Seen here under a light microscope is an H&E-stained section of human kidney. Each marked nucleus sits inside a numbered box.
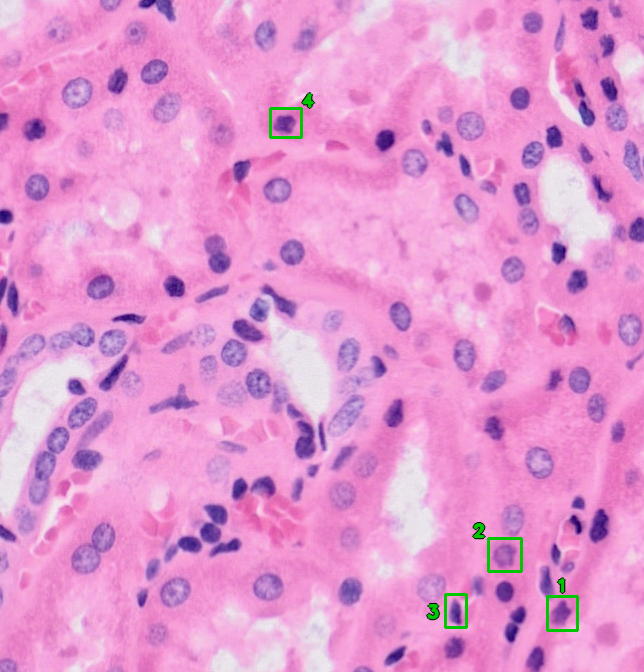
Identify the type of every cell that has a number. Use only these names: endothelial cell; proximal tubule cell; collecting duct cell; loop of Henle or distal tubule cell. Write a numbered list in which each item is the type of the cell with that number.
1. proximal tubule cell
2. proximal tubule cell
3. endothelial cell
4. proximal tubule cell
